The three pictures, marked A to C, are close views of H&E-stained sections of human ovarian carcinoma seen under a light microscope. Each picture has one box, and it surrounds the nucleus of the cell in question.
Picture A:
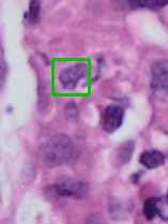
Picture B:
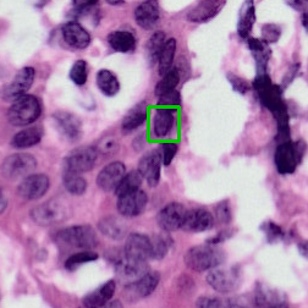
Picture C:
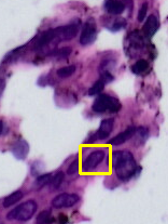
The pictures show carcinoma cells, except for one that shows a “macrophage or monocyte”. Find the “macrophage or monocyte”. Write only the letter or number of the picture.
A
